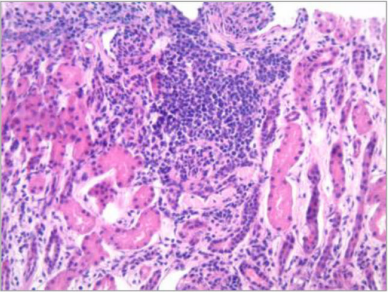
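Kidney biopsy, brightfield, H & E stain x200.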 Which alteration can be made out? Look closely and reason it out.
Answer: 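A dense cluster of small dark round nuclei lies between tubules. Tubules are separated by the cellular infiltrate. That points to this answer: interstitial infiltrates.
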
